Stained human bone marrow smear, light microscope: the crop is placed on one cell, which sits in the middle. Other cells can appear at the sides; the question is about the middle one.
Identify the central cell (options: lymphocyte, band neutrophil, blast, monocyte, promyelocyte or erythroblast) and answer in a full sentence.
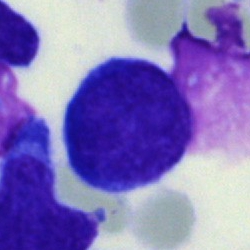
Occupying the centre of the crop is a blast.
